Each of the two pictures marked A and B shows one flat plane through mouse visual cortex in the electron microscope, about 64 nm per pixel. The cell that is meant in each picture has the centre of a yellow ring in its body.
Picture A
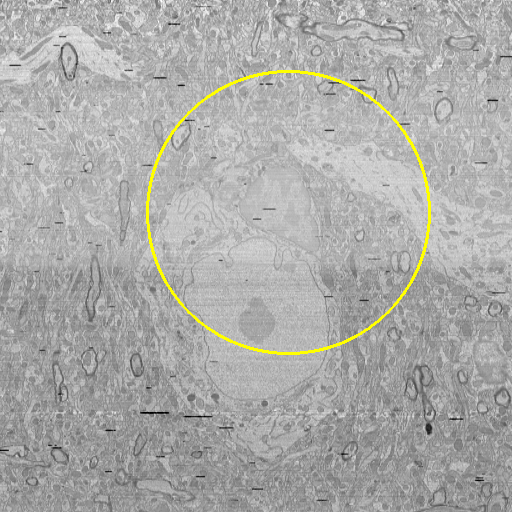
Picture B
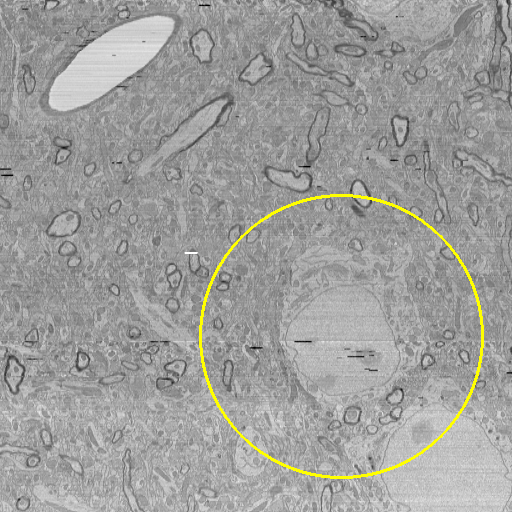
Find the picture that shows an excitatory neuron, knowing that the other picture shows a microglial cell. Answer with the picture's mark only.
B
